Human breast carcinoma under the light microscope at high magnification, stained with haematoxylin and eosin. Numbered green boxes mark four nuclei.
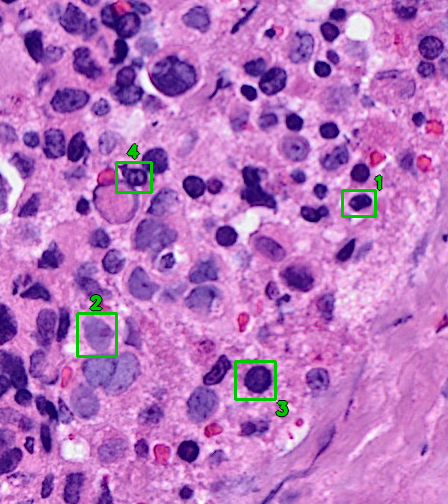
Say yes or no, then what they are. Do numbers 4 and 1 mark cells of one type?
No, cell 4 is a carcinoma cell and cell 1 is a lymphocyte.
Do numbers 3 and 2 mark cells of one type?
Yes, both are carcinoma cells.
